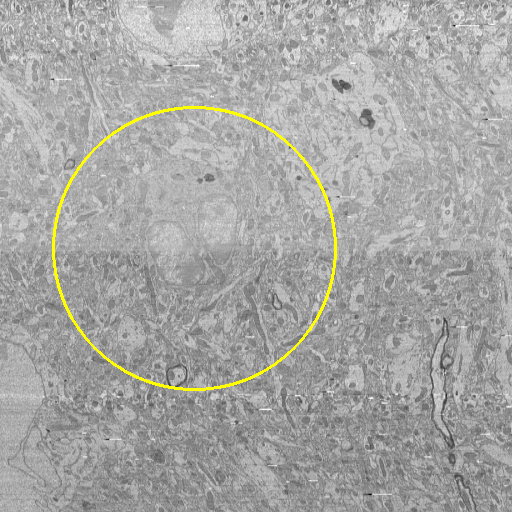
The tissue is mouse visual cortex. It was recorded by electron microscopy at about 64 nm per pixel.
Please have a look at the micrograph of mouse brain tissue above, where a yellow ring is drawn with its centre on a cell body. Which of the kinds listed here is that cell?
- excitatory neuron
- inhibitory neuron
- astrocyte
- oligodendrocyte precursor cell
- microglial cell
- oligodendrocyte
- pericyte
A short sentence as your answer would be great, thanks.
At the centre of the ring sits an oligodendrocyte.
